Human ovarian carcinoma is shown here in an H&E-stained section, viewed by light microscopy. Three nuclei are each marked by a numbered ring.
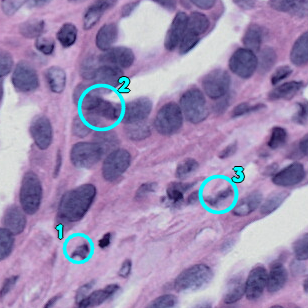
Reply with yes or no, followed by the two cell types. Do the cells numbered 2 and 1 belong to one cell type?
No, cell 2 counts as a carcinoma cell, and cell 1 counts as a fibroblast.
